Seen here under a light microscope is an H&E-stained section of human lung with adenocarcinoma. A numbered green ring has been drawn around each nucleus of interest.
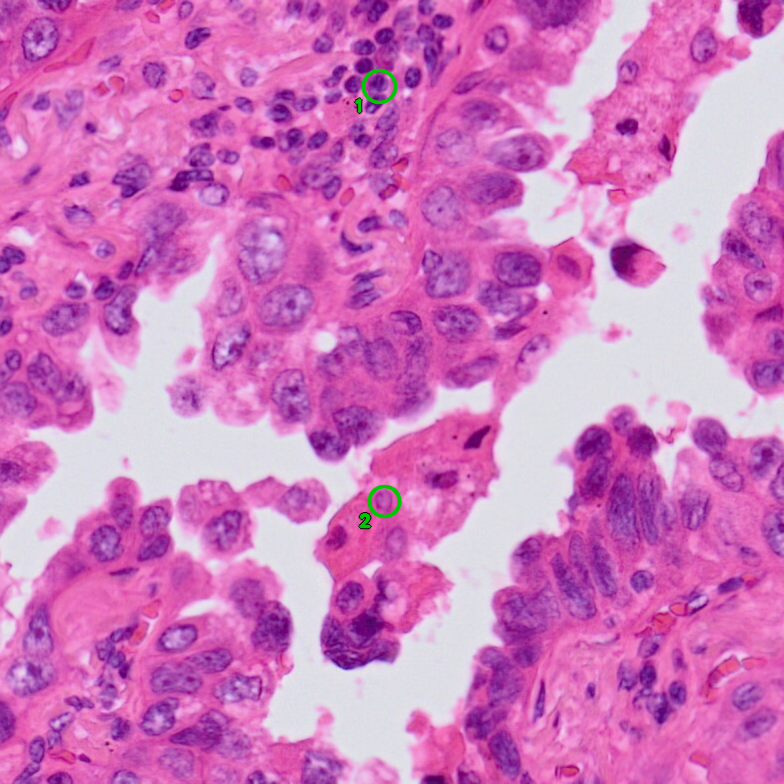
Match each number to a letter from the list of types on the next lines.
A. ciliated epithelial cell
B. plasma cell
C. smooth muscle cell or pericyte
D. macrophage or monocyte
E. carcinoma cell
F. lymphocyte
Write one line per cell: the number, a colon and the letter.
1: F
2: D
